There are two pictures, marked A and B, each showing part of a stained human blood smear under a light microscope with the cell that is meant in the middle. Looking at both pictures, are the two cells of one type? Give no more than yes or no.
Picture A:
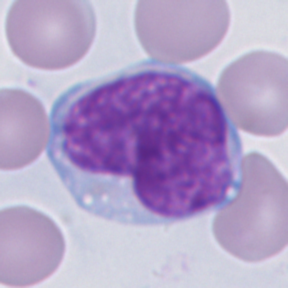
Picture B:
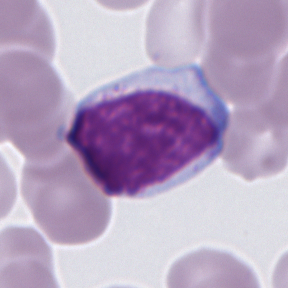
no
